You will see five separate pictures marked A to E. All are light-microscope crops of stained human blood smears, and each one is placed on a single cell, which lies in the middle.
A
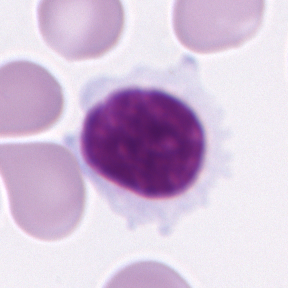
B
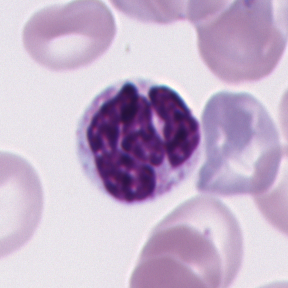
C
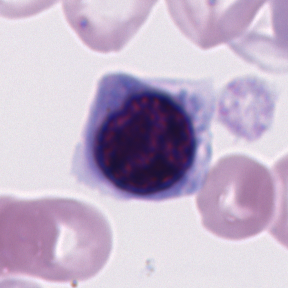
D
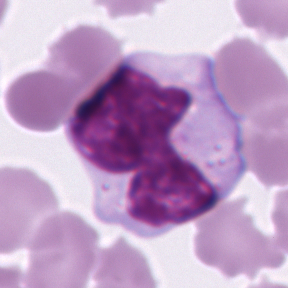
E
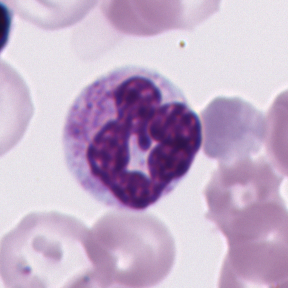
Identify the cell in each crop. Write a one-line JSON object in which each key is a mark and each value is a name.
{"A": "hairy cell", "B": "neutrophil", "C": "erythroblast", "D": "large granular lymphocyte", "E": "neutrophil"}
